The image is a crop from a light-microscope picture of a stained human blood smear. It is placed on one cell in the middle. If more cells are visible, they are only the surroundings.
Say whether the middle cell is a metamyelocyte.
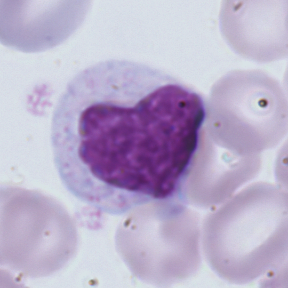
yes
